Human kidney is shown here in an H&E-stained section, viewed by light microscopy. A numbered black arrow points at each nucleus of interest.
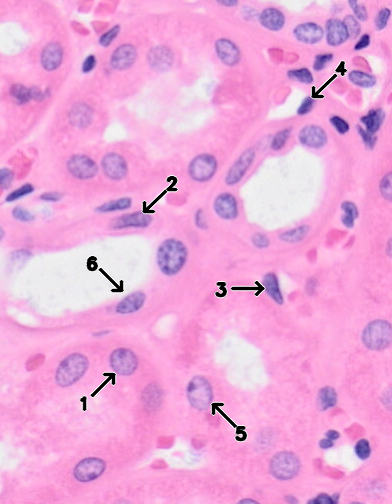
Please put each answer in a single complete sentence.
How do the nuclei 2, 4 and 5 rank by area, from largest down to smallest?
The nuclei rank 5, 2, 4, from largest to smallest.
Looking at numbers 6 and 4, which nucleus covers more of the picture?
Nucleus 6 is larger, with an area about 2 times that of nucleus 4.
